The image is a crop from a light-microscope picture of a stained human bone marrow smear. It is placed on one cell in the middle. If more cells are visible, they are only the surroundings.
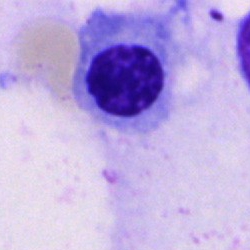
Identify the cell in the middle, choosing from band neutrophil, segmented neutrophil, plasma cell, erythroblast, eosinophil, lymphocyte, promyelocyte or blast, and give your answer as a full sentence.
This crop's central cell is an erythroblast.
